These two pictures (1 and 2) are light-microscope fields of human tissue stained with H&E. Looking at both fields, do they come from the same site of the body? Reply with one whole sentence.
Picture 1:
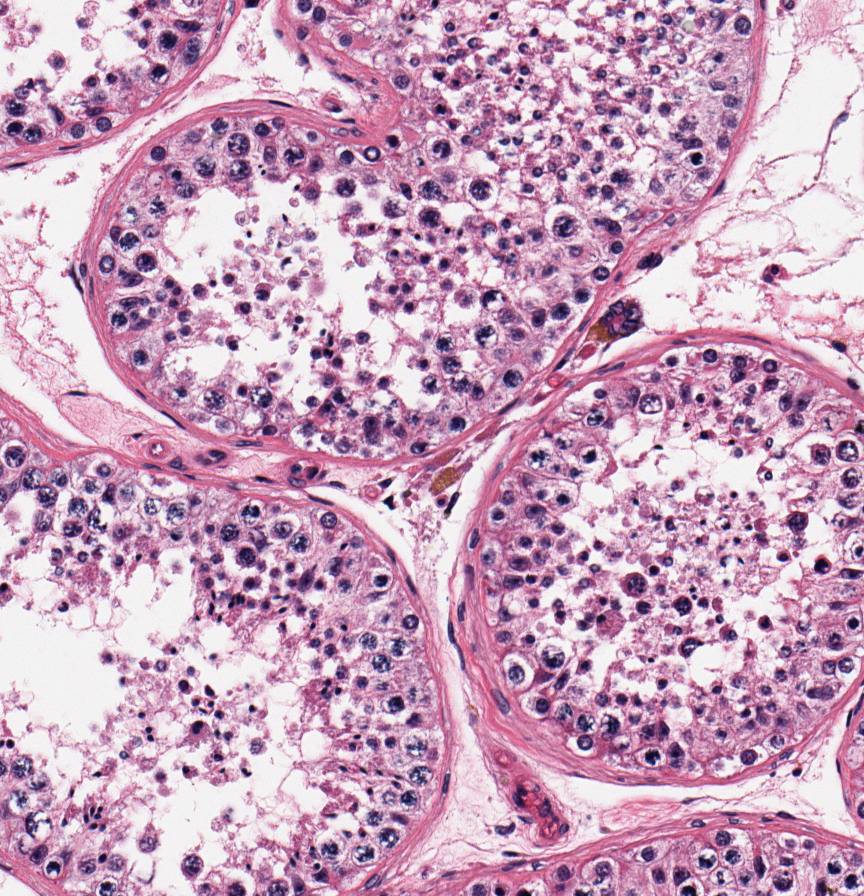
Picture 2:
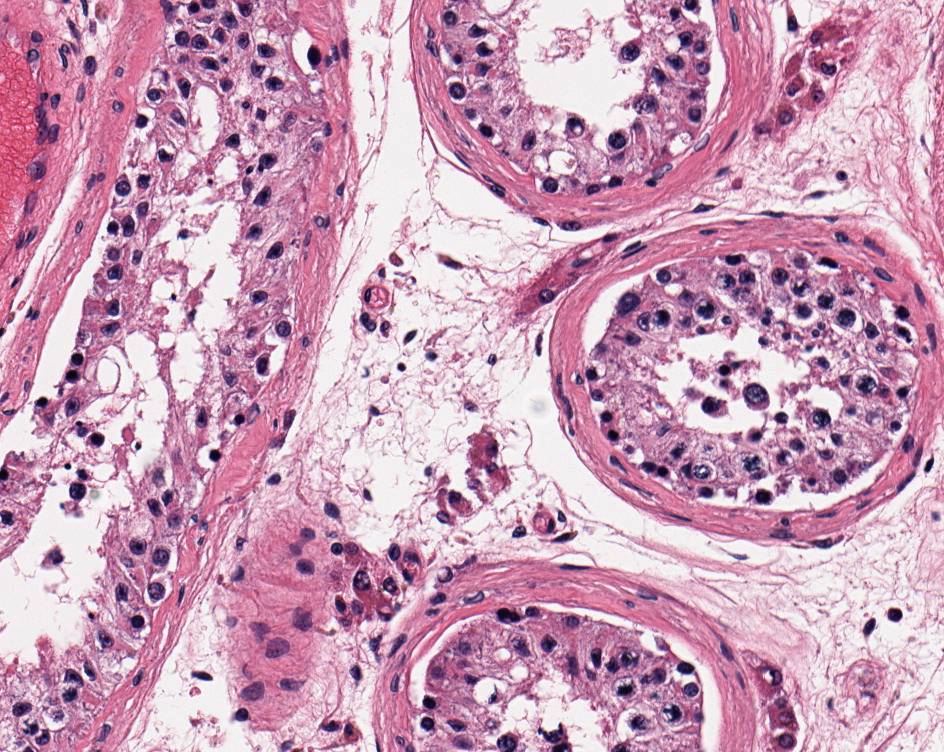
Yes; both pictures come from the testis.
